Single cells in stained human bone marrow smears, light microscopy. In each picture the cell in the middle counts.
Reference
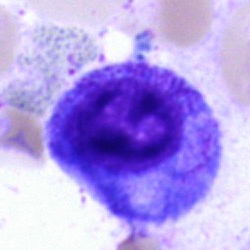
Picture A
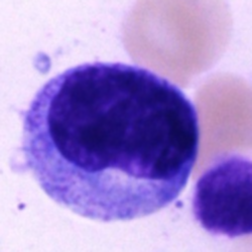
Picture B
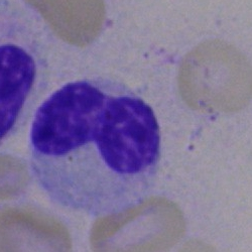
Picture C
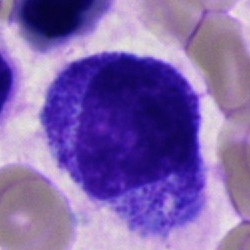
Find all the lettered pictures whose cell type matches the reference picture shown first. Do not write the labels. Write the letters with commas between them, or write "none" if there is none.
A, C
